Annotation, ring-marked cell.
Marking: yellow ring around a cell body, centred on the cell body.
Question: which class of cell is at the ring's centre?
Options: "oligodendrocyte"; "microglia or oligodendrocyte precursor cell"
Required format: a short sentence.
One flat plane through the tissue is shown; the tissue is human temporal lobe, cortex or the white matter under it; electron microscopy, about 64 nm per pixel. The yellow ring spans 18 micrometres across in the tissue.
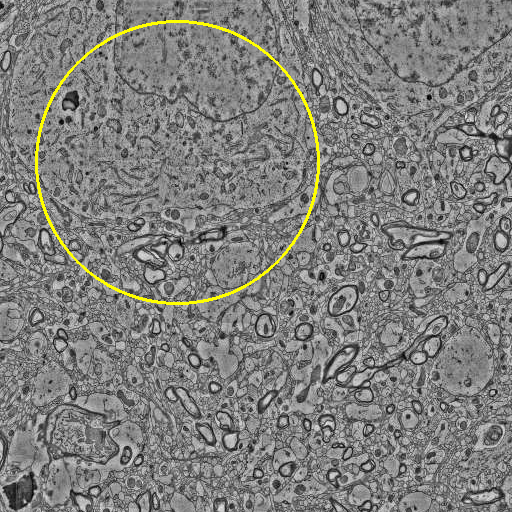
At the ring's centre is an oligodendrocyte.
